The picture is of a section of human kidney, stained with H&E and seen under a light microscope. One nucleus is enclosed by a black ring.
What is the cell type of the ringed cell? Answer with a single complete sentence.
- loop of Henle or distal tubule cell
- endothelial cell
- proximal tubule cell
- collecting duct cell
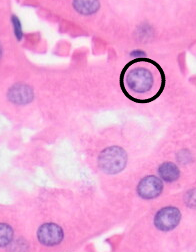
The cell meant here is a proximal tubule cell.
